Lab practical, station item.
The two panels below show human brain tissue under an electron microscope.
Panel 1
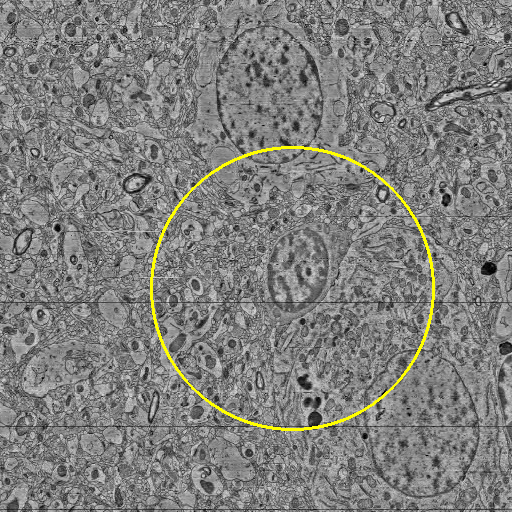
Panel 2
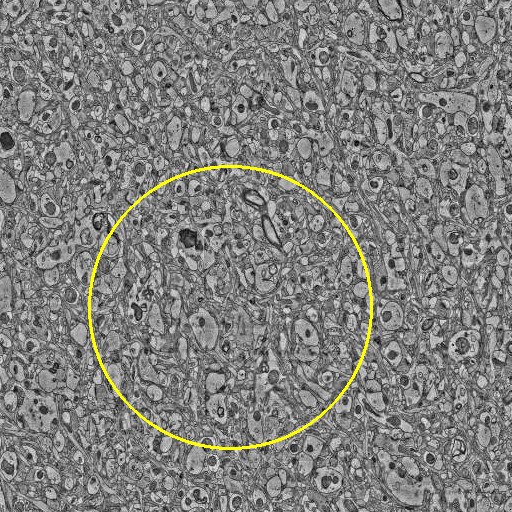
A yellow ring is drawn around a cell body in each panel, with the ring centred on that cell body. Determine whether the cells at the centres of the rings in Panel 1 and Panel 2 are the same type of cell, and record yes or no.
yes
